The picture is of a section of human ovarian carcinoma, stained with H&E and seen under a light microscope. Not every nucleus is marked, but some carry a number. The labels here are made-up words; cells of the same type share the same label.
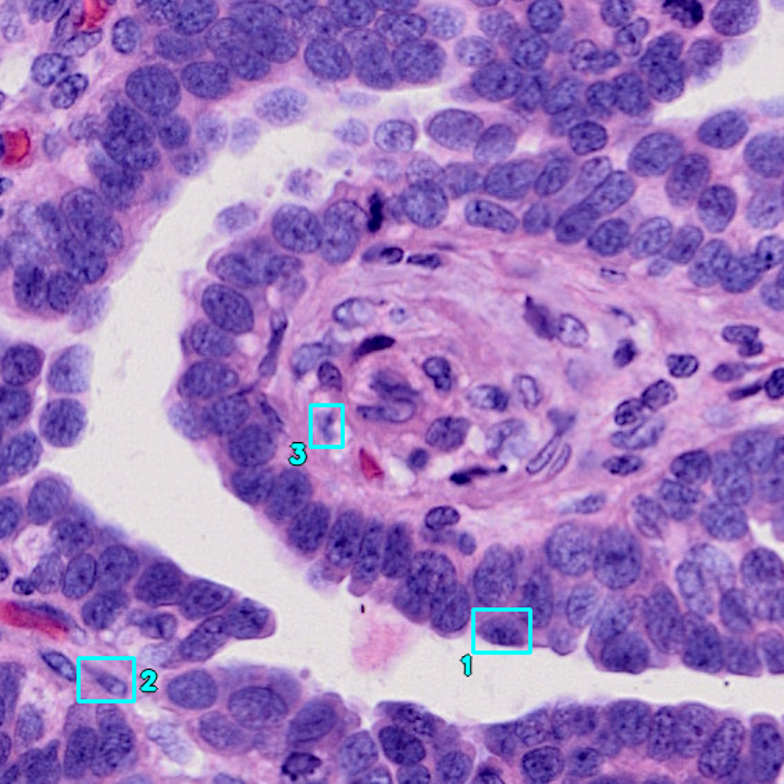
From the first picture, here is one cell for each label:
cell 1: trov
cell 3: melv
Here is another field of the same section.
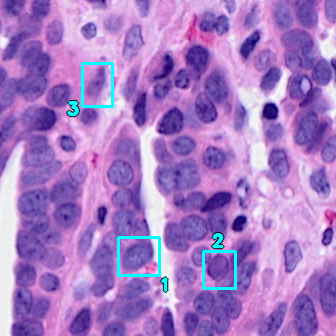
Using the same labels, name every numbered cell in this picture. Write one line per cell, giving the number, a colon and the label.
1: trov
2: trov
3: melv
